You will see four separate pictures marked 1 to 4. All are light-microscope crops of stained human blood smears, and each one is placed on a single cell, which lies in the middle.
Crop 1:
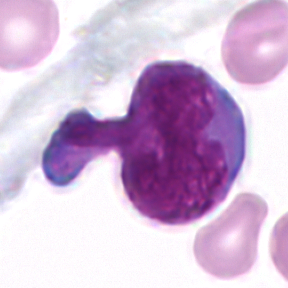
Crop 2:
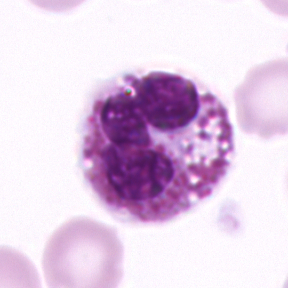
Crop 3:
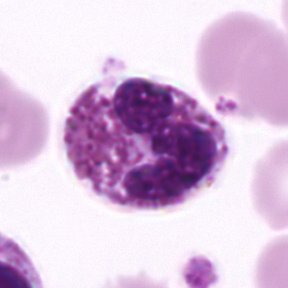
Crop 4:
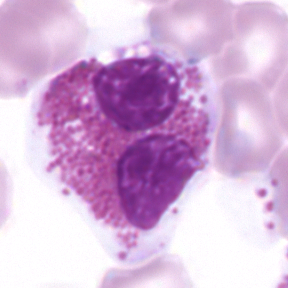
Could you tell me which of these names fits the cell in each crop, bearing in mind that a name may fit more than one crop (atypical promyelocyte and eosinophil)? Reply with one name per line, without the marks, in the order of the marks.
atypical promyelocyte
eosinophil
eosinophil
eosinophil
